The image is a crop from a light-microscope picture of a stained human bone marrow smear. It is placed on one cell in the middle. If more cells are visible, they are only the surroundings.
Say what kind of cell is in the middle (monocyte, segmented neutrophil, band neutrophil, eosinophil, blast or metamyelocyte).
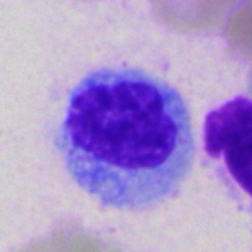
monocyte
